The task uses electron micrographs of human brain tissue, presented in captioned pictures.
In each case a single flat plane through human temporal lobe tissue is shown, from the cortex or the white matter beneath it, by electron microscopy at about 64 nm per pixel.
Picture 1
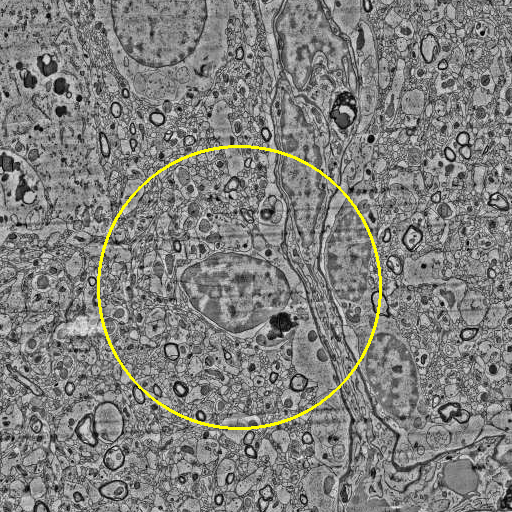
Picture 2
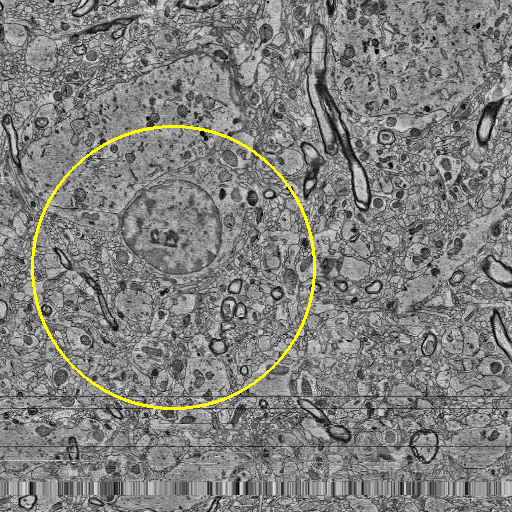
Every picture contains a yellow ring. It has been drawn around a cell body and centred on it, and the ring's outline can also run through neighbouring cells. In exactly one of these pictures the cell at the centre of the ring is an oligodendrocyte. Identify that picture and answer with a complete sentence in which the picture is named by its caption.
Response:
The ring in Picture 2 is centred on that kind of cell.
